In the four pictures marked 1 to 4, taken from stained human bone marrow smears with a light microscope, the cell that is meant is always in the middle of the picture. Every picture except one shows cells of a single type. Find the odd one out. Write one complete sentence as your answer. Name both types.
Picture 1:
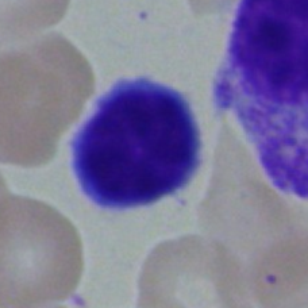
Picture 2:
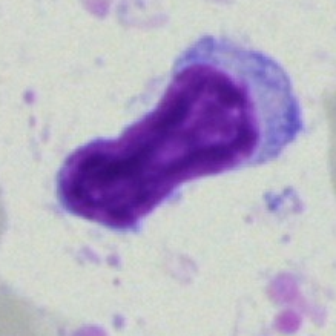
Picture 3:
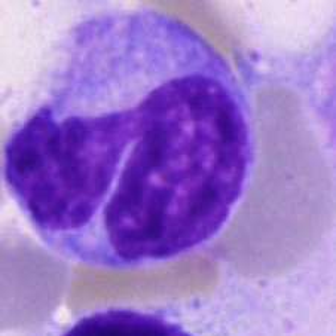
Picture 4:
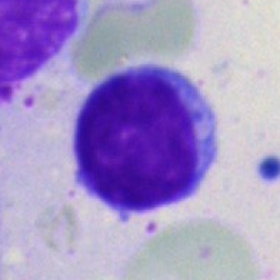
The different one is picture 3; it shows a monocyte, whereas all the others show lymphocytes.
